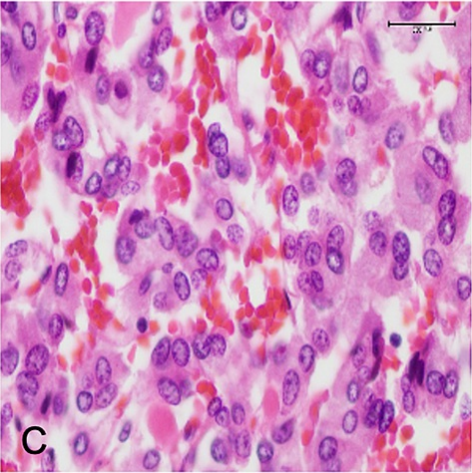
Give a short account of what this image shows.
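The red cells fill spaces and thin channels that run between small clusters of tumor cells. Cell borders are indistinct, so the cytoplasm of adjacent cells blends together.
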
